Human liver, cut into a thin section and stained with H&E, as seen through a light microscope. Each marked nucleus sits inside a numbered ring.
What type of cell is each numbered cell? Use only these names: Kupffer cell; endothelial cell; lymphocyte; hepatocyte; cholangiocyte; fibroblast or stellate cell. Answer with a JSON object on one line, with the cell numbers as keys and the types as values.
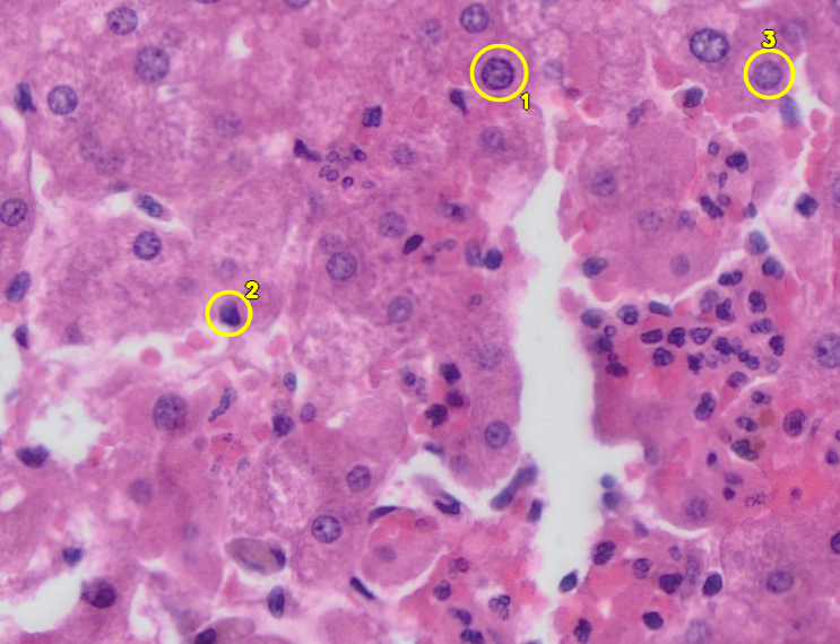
{"1": "hepatocyte", "2": "fibroblast or stellate cell", "3": "hepatocyte"}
